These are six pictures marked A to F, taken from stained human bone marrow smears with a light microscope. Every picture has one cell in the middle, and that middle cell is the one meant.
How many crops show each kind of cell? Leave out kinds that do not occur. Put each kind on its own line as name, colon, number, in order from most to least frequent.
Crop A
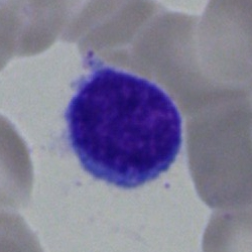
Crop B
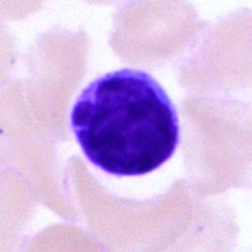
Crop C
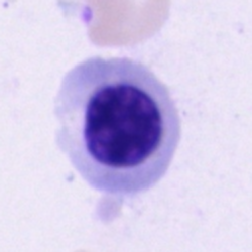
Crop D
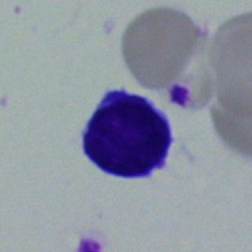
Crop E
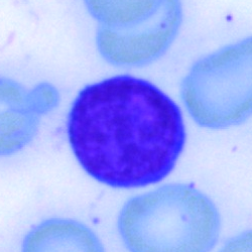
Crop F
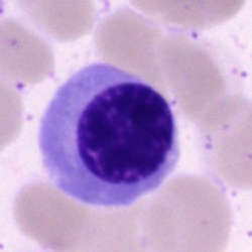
lymphocyte: 4
erythroblast: 2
